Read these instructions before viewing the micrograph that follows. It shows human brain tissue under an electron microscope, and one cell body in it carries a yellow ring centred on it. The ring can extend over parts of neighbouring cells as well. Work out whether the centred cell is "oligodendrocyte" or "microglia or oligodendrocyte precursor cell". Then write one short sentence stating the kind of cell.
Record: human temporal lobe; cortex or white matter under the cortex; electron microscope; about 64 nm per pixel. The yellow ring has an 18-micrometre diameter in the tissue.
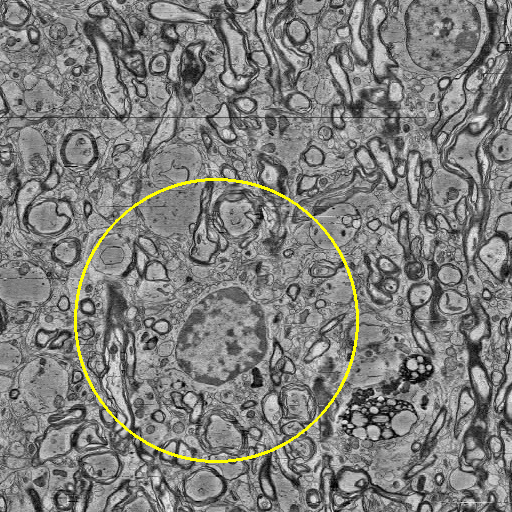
The ringed cell is a microglial cell or oligodendrocyte precursor cell.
